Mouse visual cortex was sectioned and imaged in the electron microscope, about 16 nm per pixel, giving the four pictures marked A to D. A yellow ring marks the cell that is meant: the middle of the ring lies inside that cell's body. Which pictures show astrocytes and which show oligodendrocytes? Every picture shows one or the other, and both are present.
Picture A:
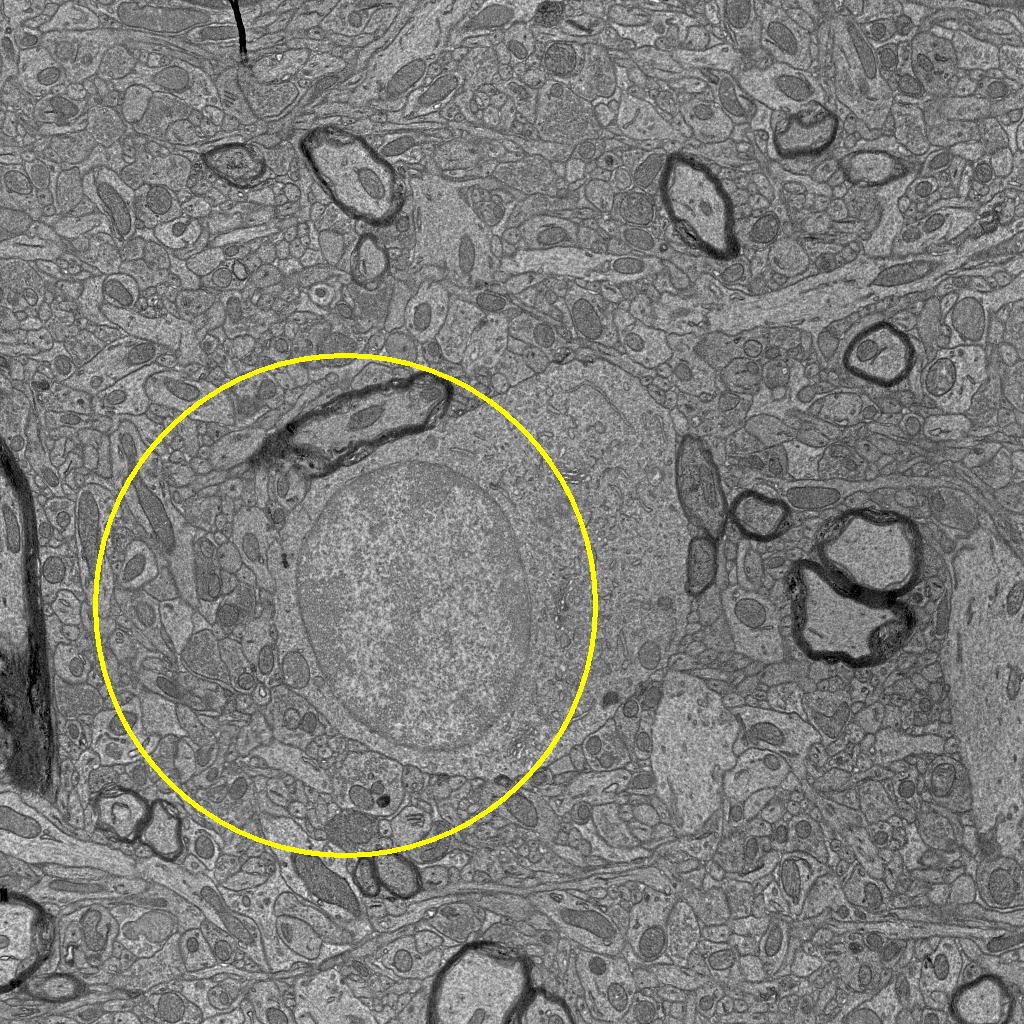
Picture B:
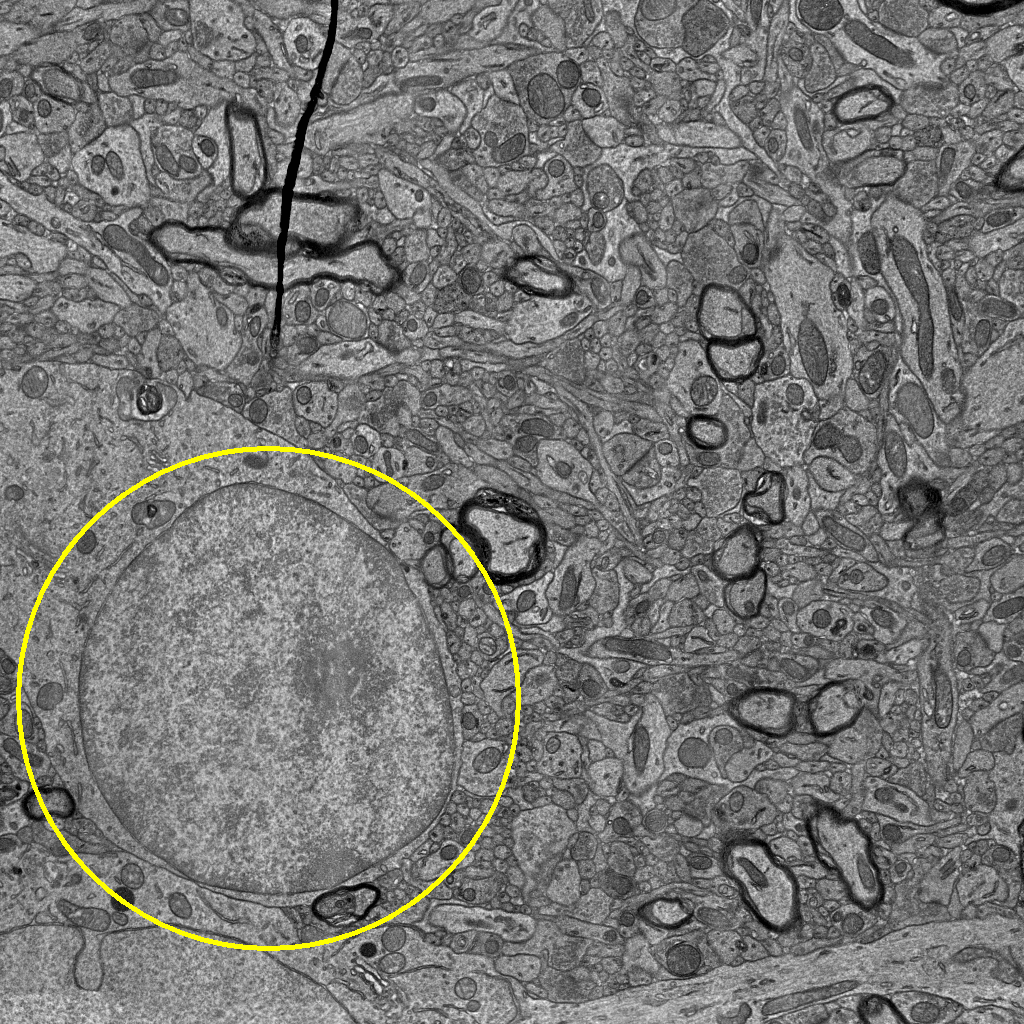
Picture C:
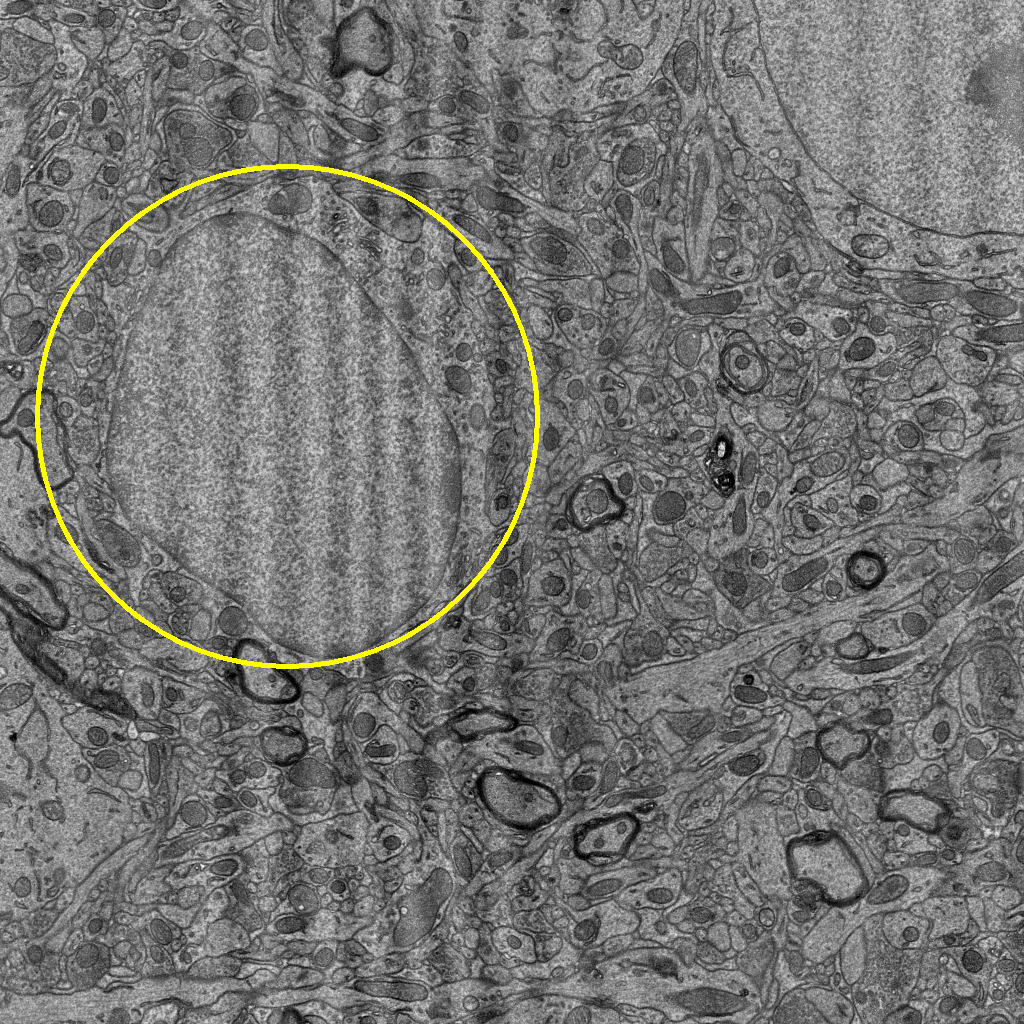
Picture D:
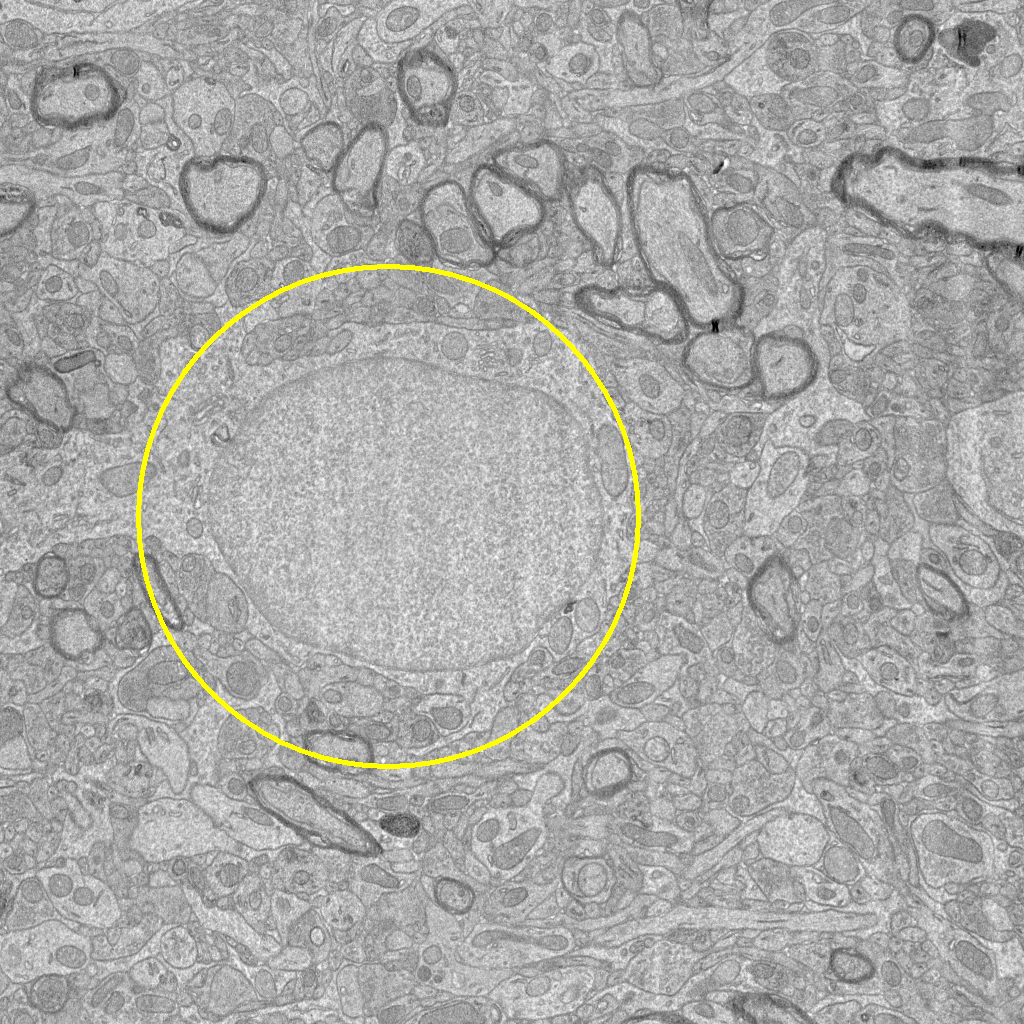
Pictures C and D show astrocytes; pictures A and B show oligodendrocytes.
